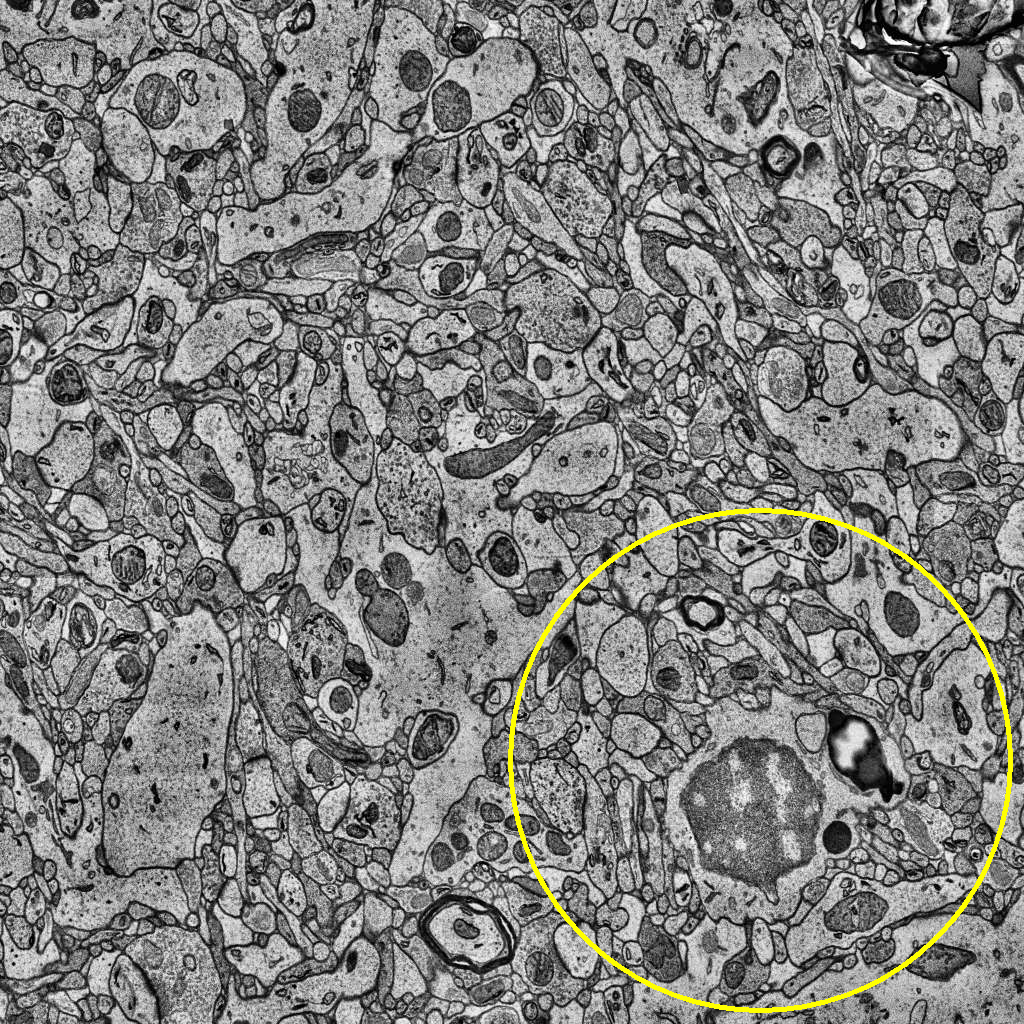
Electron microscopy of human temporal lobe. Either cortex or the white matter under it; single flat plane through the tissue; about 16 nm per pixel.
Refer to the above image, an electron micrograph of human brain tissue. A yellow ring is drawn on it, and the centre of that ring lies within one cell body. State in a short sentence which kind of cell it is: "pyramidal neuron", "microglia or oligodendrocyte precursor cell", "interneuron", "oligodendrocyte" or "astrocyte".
The centre of the ring falls on a microglial cell or oligodendrocyte precursor cell.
